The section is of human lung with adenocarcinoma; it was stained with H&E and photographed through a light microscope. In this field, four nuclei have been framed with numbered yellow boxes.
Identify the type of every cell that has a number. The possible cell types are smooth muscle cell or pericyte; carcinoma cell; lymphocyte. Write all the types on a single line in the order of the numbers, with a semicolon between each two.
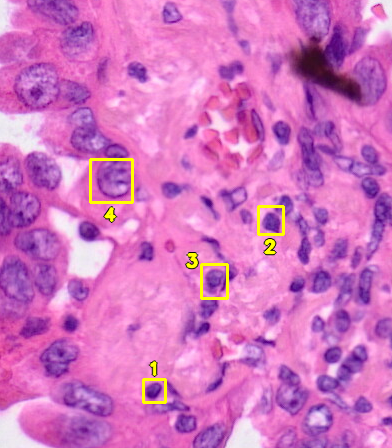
lymphocyte; lymphocyte; lymphocyte; carcinoma cell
